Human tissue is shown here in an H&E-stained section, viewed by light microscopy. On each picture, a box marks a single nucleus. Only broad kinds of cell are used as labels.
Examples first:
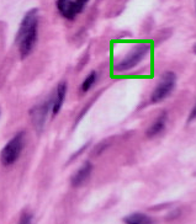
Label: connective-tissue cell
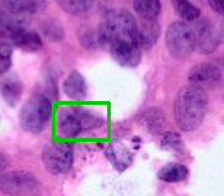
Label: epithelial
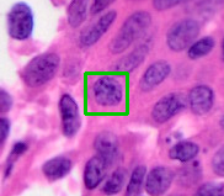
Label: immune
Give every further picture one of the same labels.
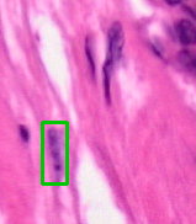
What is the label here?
connective-tissue cell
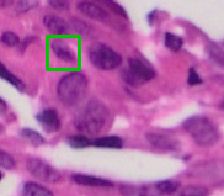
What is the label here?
immune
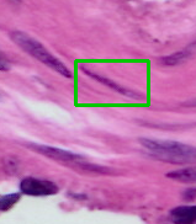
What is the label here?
connective-tissue cell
